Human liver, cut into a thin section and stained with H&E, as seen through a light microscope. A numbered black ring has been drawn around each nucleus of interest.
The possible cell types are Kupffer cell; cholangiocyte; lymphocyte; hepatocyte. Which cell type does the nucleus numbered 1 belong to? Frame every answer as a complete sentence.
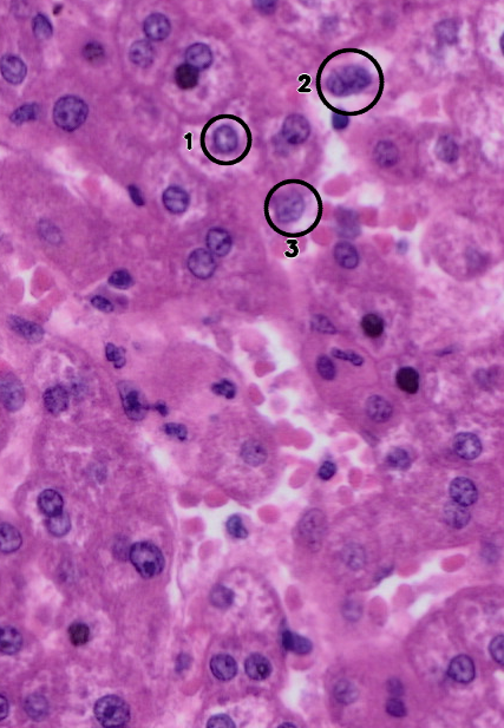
Number 1 is placed on a hepatocyte here.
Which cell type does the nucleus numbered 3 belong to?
The cell identified by number 3 is a Kupffer cell.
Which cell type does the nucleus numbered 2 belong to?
The cell carrying label 2 is identified as a Kupffer cell.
